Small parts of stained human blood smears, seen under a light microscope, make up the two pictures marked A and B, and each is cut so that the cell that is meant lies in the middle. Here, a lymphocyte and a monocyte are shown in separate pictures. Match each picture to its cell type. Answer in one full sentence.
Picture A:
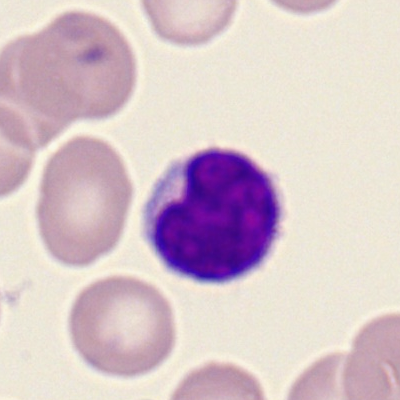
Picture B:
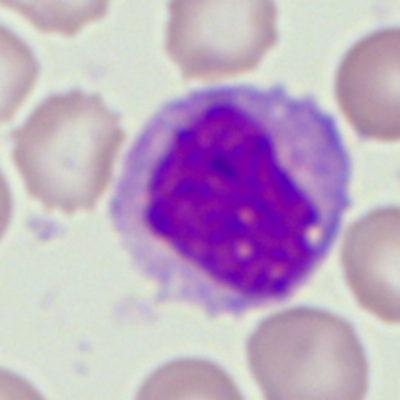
It is picture A that shows a lymphocyte, and picture B that shows a monocyte.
